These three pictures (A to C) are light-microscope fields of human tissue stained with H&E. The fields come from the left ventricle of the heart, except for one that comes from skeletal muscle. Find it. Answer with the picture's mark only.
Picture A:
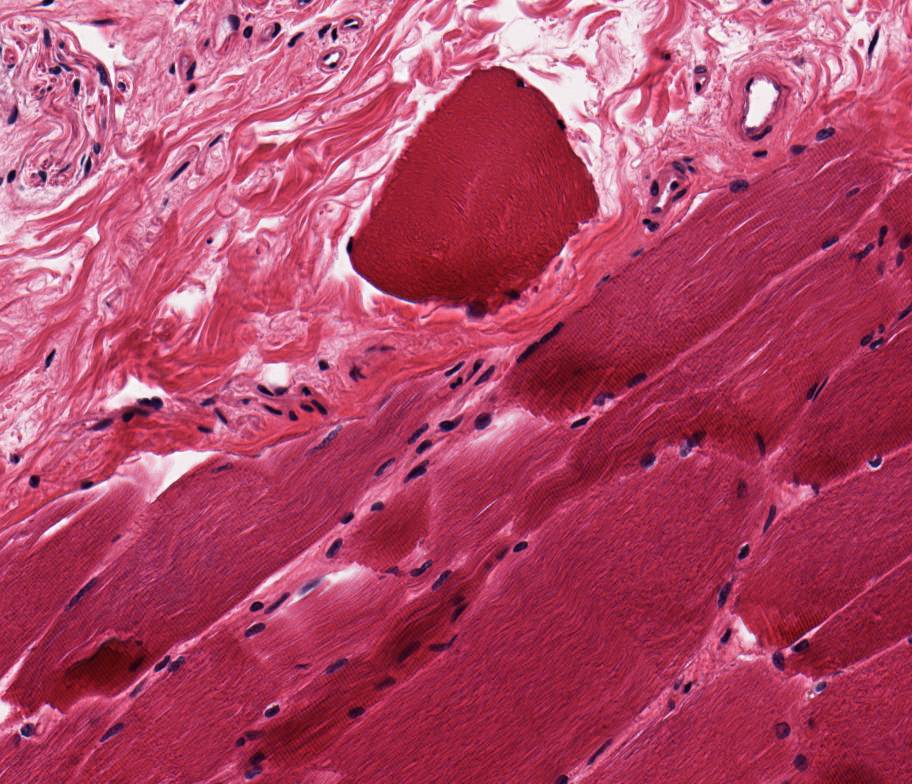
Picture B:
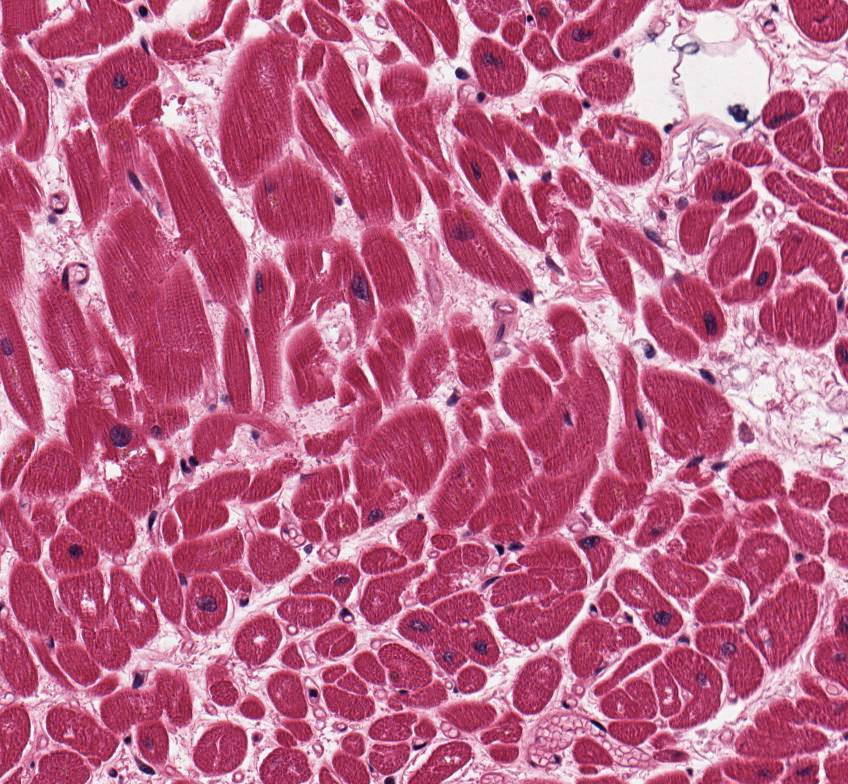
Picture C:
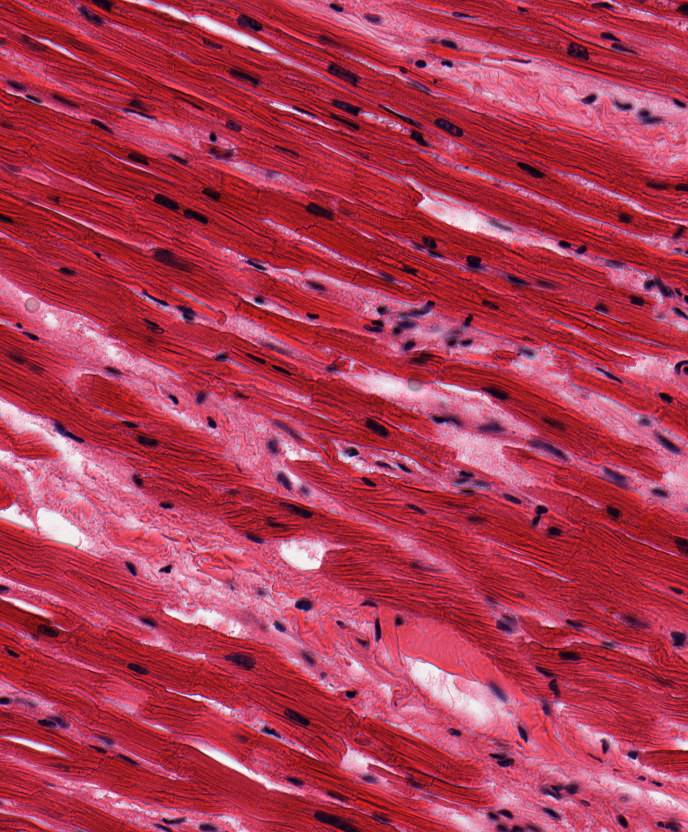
A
